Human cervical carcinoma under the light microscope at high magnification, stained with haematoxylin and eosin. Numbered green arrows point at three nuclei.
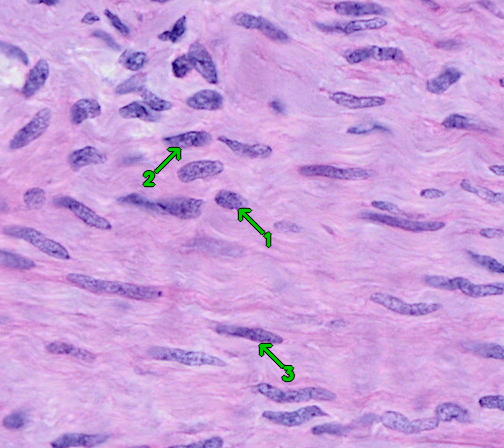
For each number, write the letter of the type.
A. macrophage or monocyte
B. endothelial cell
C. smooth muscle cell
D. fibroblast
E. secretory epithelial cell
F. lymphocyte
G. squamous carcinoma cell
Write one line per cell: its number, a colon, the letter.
1: D
2: D
3: C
